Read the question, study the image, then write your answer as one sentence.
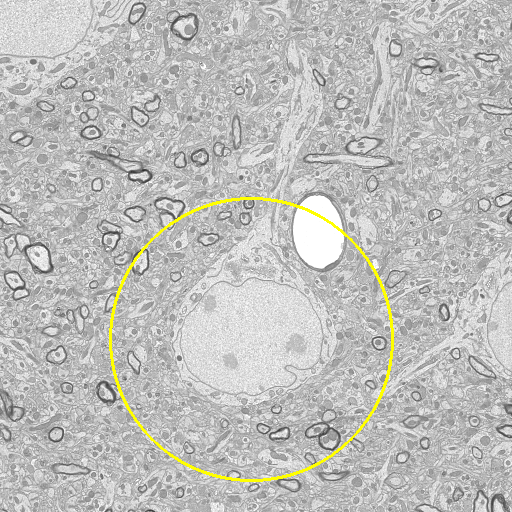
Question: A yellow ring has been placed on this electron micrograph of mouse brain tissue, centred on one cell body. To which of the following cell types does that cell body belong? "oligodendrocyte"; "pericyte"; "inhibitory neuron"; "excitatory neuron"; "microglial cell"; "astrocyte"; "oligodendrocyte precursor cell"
That cell body belongs to an excitatory neuron.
